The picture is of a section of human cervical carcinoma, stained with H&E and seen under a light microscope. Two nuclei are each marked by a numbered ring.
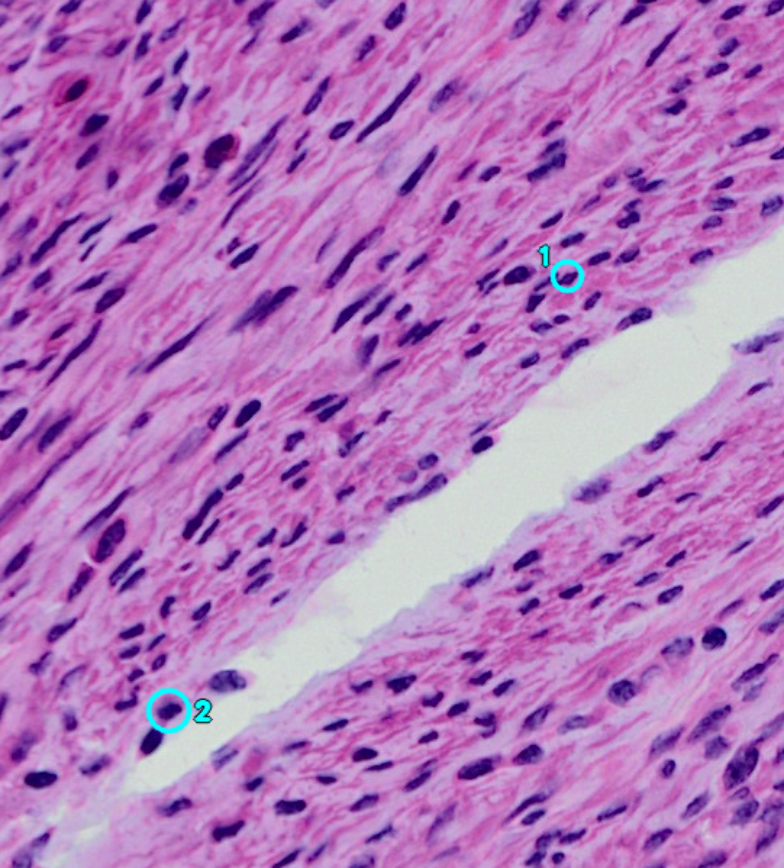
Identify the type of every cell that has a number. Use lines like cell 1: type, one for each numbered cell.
cell 1: fibroblast
cell 2: lymphocyte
